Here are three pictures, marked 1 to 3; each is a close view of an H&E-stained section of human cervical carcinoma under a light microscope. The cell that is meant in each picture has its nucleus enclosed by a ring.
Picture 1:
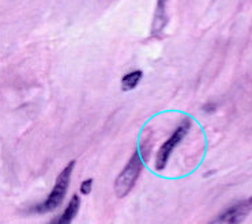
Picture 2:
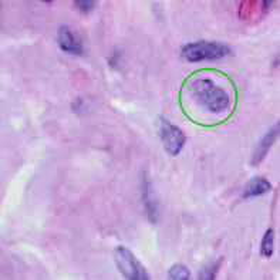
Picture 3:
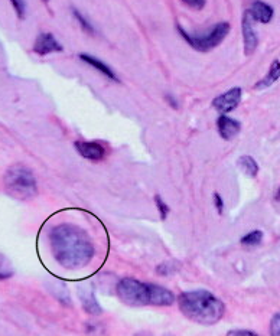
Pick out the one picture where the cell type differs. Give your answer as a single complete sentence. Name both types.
The different one is picture 3; it shows an endothelial cell, whereas all the others show fibroblasts.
